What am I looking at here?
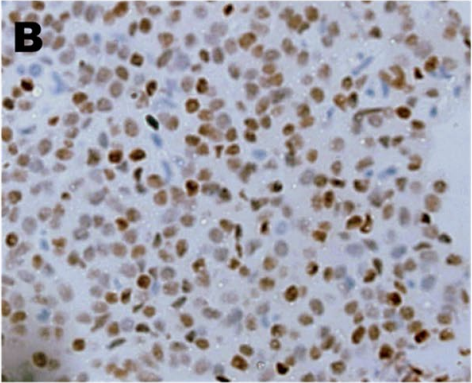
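This is a solid sheet of tumor cells in which the brown stain lies in the nuclei. The cells are closely packed and fairly uniform, with round to oval nuclei of similar size and scant, pale cytoplasm. Most nuclei are brown, with intensity ranging from faint to dark, while a minority are blue only. A few elongated, spindle-shaped blue nuclei are scattered between the tumor cells. No glands or lumens are formed, and the cytoplasm stays pale throughout.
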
